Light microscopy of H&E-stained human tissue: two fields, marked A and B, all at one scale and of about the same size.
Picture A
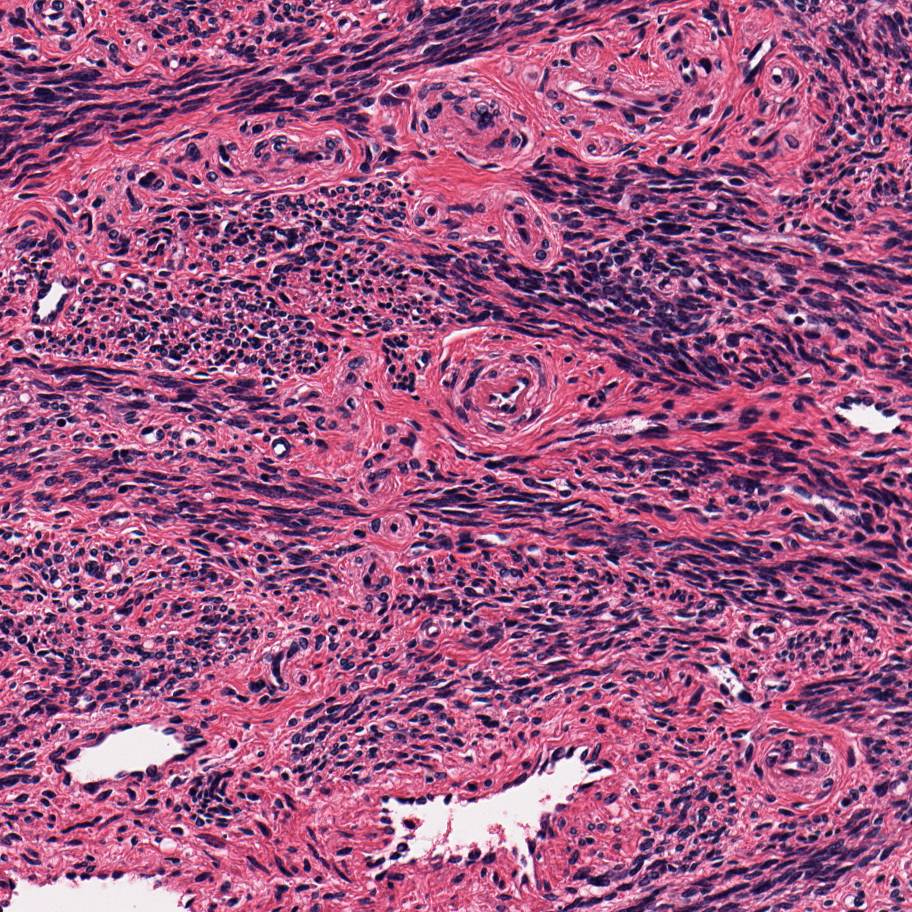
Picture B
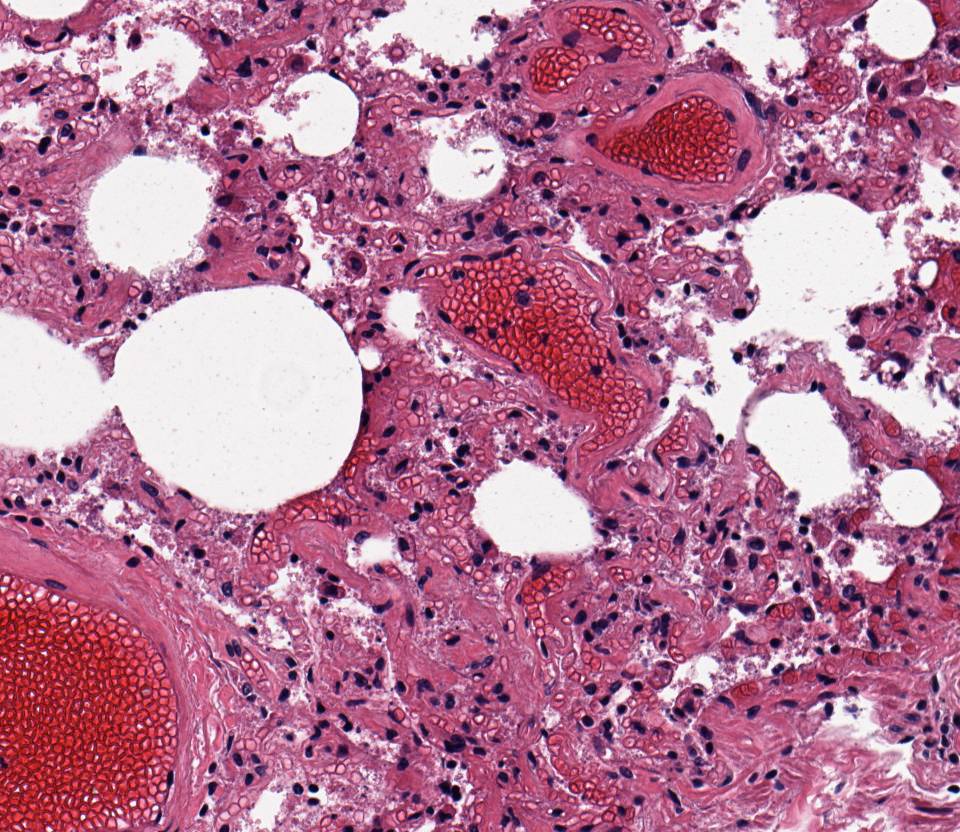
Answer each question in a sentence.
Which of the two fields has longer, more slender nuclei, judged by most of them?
On the whole the nuclei of picture A are more drawn out than those of picture B.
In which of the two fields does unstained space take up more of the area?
Unstained space takes up more of picture B than of picture A.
